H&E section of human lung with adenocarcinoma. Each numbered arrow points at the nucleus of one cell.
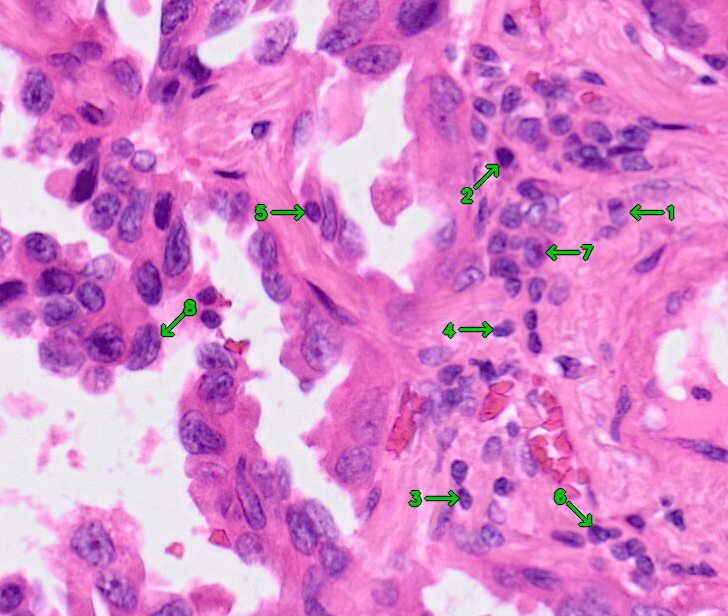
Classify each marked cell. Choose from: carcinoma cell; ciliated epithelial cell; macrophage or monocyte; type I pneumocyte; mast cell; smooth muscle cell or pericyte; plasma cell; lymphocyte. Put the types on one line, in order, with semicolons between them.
plasma cell; plasma cell; lymphocyte; lymphocyte; lymphocyte; lymphocyte; plasma cell; carcinoma cell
